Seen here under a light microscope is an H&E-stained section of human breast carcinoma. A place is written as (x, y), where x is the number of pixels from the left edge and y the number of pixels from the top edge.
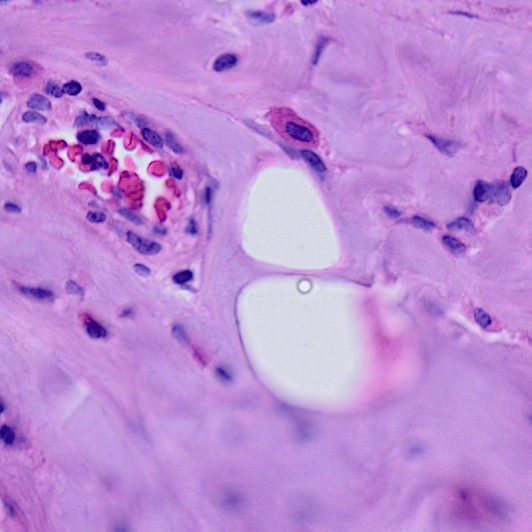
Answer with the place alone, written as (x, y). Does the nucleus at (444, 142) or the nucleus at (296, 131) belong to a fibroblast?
(444, 142)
